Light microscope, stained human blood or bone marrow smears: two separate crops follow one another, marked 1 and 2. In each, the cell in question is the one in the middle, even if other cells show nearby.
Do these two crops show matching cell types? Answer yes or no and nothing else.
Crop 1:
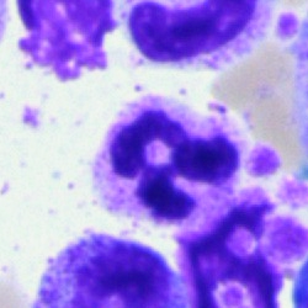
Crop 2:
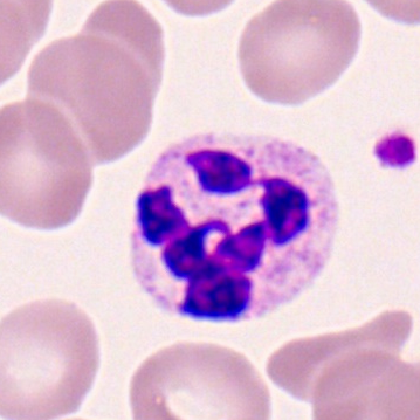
yes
